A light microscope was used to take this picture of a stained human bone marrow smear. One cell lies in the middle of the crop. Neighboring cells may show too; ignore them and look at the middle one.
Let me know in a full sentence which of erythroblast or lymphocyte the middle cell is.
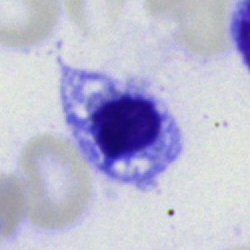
Answering briefly, the cell in the middle is an erythroblast.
